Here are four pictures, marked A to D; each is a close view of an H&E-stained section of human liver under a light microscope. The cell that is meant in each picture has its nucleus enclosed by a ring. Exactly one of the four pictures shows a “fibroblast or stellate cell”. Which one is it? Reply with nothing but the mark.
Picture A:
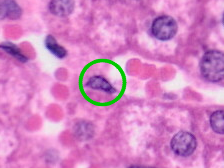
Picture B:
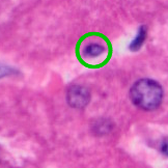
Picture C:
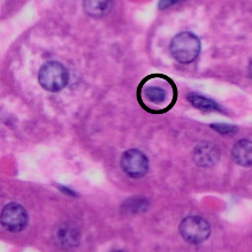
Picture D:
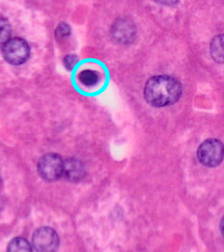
A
